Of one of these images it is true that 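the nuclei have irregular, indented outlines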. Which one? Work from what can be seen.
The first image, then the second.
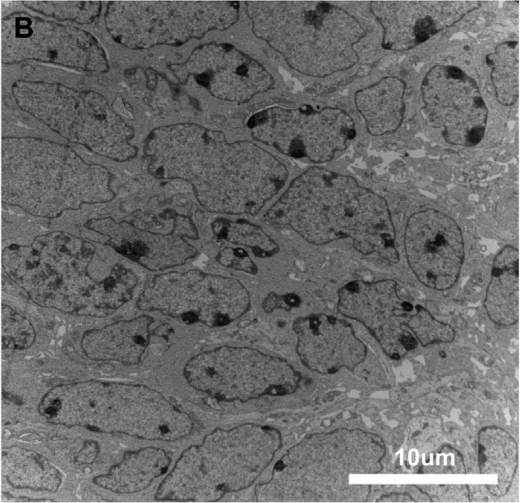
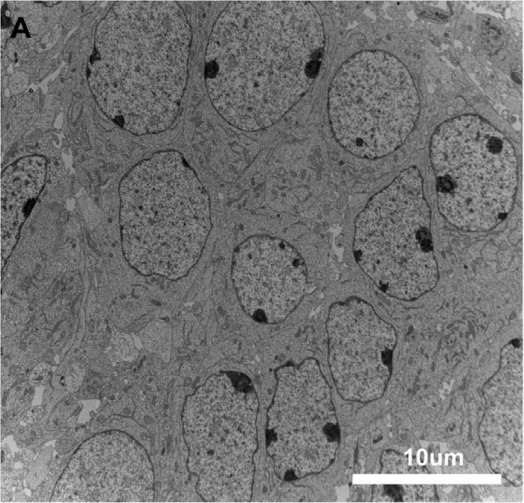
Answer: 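First image: many nuclei are angular with folded, notched envelopes. Second image: nuclei are smooth, round to oval. On this evidence: the first image.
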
